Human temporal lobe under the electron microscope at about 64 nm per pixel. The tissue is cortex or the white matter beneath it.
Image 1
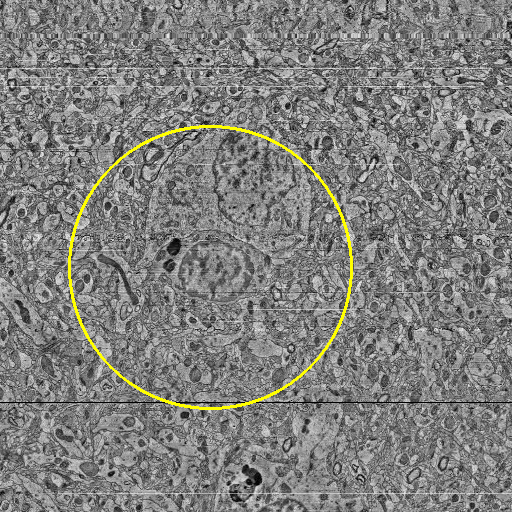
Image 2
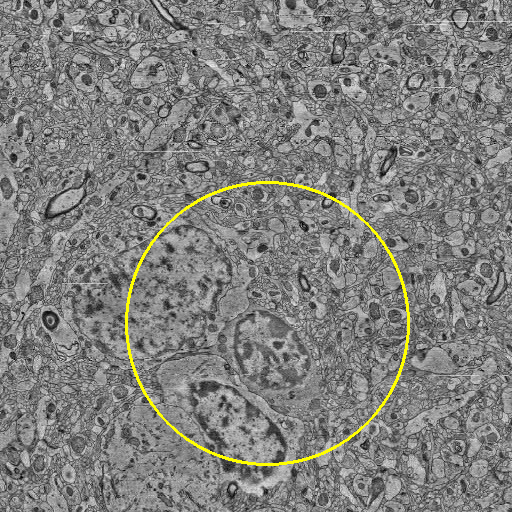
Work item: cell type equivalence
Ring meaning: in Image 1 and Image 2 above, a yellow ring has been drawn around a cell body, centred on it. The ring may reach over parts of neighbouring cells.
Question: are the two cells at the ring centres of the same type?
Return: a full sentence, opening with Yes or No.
Yes, the two centred cells are of the same type.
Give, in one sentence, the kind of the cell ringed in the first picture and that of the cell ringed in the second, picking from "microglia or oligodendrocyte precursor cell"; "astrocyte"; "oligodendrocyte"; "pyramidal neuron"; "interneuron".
Each of the two pictures has an oligodendrocyte at the ring centre.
